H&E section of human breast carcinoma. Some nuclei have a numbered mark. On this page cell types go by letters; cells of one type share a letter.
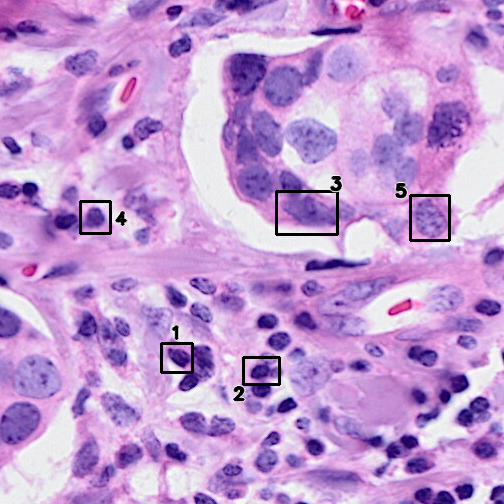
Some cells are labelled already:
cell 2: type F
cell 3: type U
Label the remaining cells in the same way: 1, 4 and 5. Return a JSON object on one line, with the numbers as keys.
{"1": "type F", "4": "type F", "5": "type U"}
